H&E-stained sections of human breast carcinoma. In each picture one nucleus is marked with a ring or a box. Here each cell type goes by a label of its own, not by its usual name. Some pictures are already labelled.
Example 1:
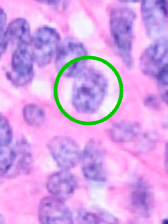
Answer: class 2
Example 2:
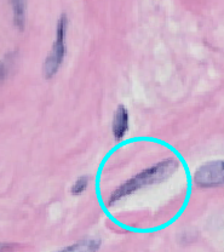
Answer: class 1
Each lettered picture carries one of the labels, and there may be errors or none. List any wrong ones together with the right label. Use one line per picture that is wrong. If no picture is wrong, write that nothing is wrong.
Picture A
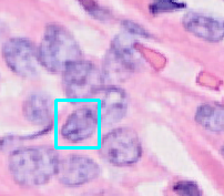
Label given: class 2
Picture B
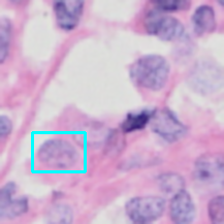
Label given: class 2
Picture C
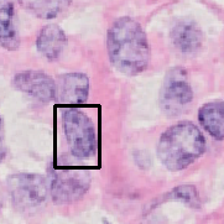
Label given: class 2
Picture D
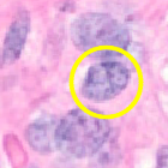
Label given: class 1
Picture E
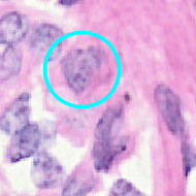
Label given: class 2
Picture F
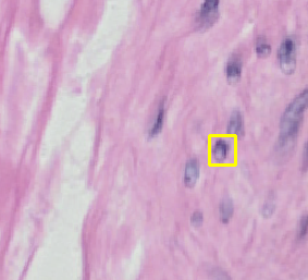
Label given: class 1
D: class 2, not class 1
